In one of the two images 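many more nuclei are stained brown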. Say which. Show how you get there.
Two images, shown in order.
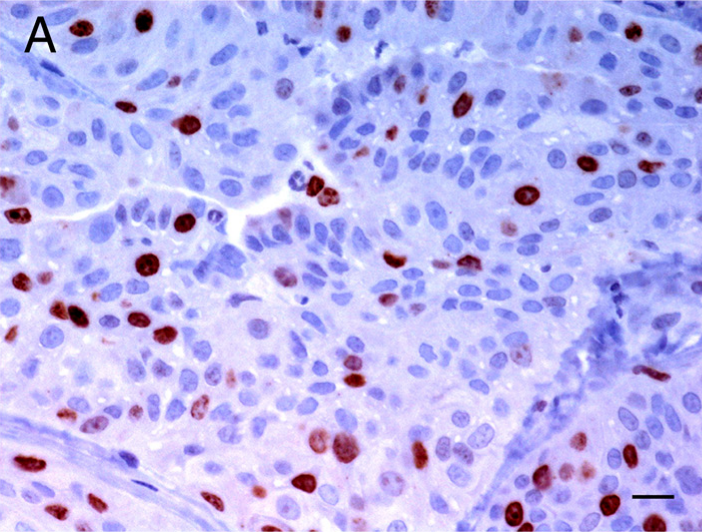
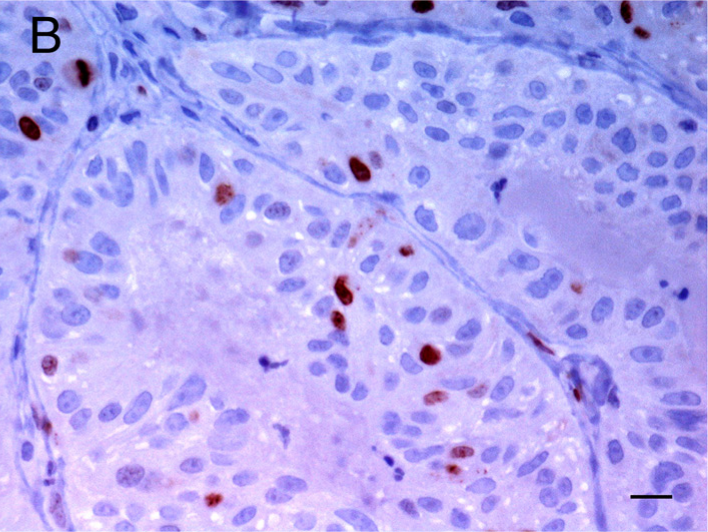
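The first image. Second image: only scattered nuclei are brown; most are blue. First image: brown nuclei are numerous throughout the nests.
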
